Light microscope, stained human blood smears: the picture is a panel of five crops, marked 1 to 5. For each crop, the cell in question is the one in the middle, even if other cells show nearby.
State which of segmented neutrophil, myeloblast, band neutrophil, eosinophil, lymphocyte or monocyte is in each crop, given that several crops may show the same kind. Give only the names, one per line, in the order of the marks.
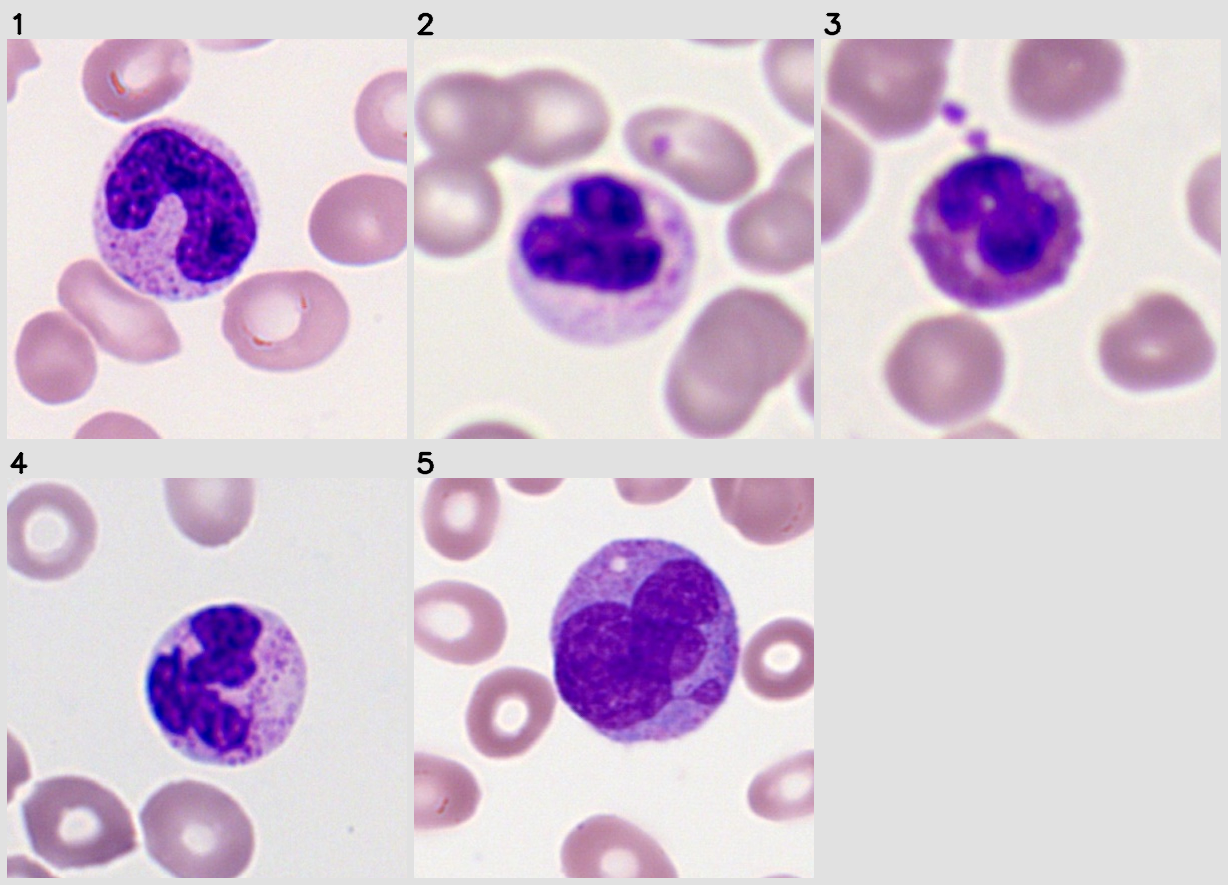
band neutrophil
segmented neutrophil
eosinophil
segmented neutrophil
monocyte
